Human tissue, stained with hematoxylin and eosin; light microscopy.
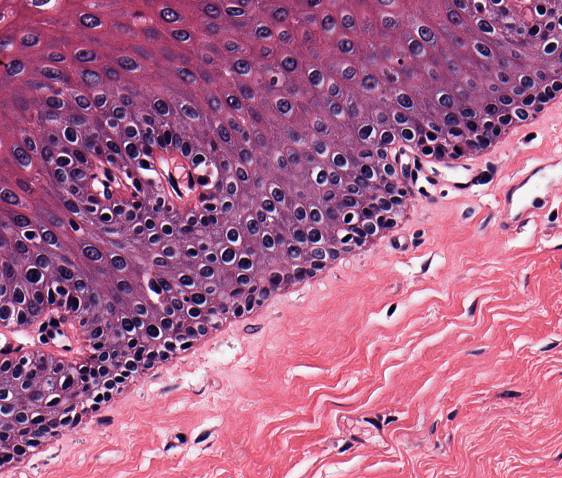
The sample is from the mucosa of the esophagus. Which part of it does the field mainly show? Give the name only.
stratified squamous nonkeratinized epithelium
